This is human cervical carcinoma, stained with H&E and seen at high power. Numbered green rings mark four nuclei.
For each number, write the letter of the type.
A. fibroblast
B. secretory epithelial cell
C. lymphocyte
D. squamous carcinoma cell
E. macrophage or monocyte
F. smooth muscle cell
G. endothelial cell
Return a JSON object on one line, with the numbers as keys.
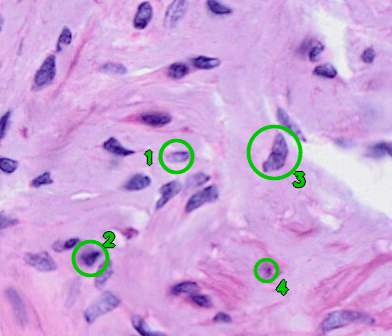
{"1": "A", "2": "A", "3": "A", "4": "F"}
